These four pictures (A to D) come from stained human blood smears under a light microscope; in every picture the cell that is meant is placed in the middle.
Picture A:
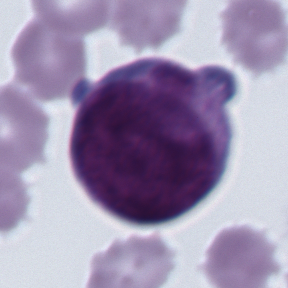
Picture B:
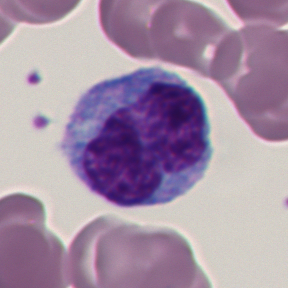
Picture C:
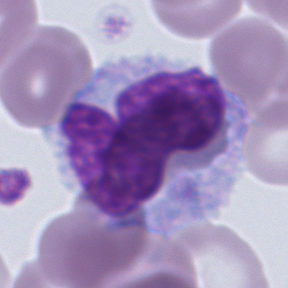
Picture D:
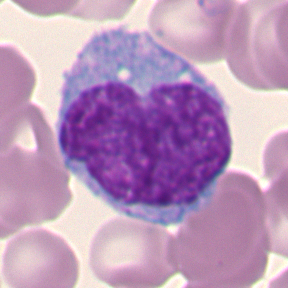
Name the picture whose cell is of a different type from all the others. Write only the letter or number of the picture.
A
